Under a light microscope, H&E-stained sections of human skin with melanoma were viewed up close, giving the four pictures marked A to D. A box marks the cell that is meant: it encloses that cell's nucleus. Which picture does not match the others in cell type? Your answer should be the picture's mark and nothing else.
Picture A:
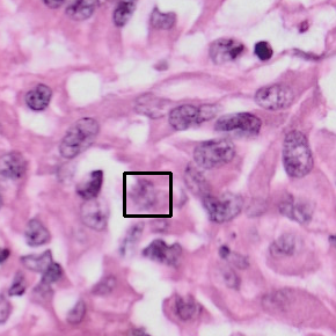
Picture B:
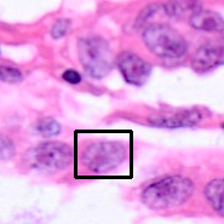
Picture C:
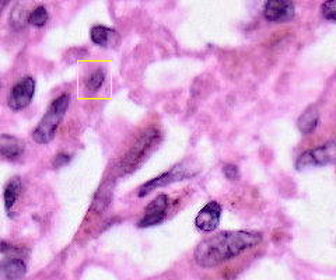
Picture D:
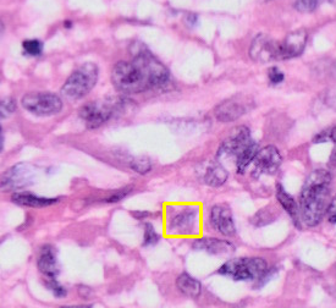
C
